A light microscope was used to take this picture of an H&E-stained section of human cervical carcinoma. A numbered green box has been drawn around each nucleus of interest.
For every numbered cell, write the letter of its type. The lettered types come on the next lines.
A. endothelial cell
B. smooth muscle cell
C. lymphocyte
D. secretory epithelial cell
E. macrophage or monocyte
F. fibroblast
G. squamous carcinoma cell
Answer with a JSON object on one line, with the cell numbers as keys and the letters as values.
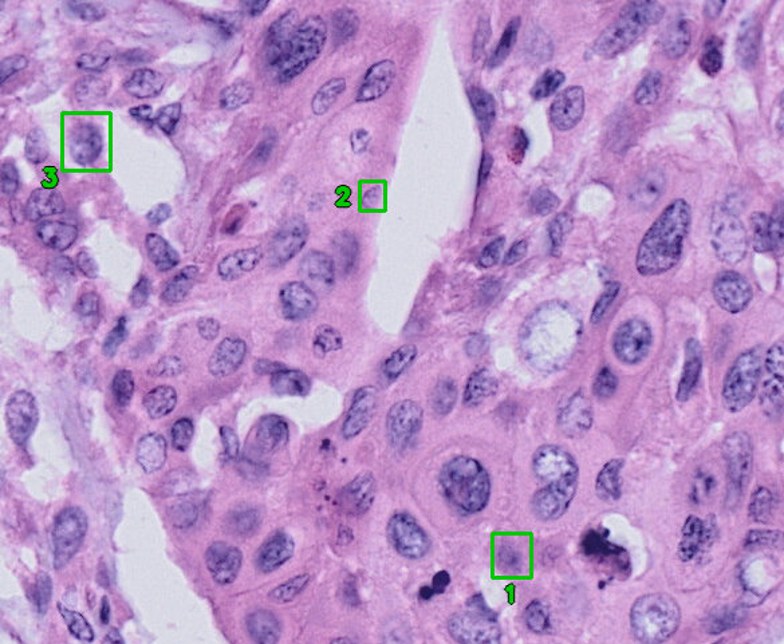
{"1": "G", "2": "G", "3": "E"}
